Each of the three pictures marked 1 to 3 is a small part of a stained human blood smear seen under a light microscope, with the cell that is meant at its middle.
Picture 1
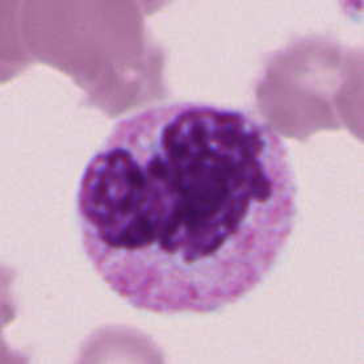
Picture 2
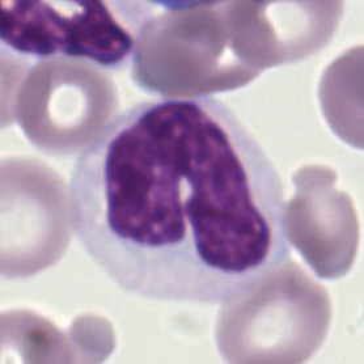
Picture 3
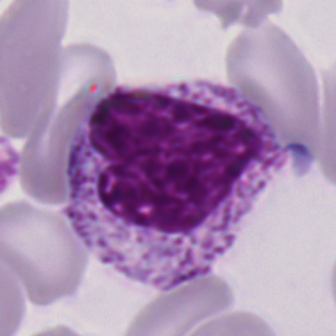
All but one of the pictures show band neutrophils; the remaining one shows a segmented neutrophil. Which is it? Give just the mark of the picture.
1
